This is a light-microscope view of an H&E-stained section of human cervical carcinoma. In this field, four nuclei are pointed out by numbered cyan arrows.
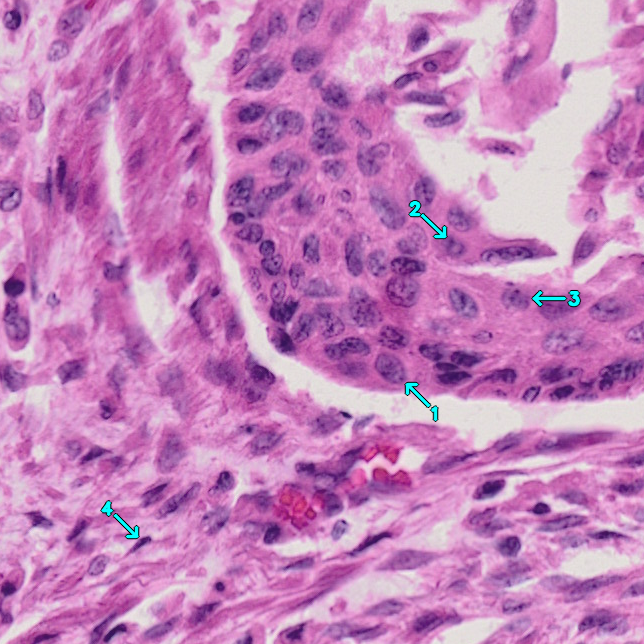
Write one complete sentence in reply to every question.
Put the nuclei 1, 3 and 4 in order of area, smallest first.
From smallest to largest, the order is 4, 3, 1.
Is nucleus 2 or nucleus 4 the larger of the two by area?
Nucleus 2 covers more area, about 3 times as much as nucleus 4.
